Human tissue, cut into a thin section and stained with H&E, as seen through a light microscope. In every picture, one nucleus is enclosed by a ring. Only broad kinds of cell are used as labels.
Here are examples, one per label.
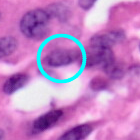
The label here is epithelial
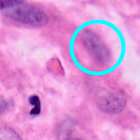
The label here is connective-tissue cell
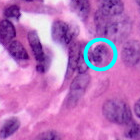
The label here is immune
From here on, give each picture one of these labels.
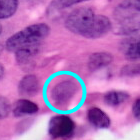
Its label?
epithelial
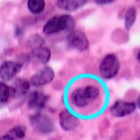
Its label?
immune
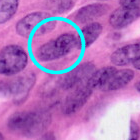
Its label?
epithelial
